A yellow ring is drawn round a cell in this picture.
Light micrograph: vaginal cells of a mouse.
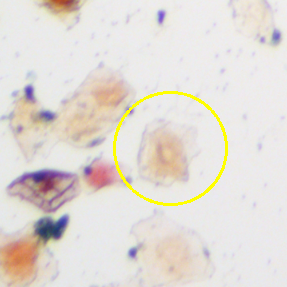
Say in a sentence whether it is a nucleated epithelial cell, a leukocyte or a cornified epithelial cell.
The cell in the ring is a cornified epithelial cell.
